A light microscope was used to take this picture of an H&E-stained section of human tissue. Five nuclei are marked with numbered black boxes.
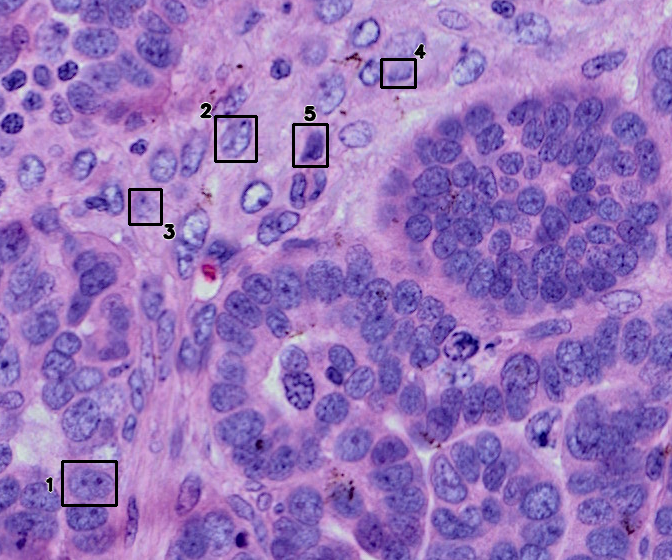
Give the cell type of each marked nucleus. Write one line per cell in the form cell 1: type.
cell 1: carcinoma cell
cell 2: fibroblast
cell 3: fibroblast
cell 4: fibroblast
cell 5: macrophage or monocyte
